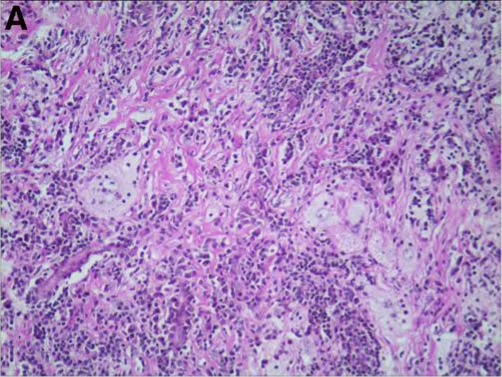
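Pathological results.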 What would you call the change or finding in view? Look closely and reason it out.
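Sheets of small round cells with dark purple nuclei fill much of the field. The small dark cells lie in dense bands between pink strands. So: Lymphocytic infiltration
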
